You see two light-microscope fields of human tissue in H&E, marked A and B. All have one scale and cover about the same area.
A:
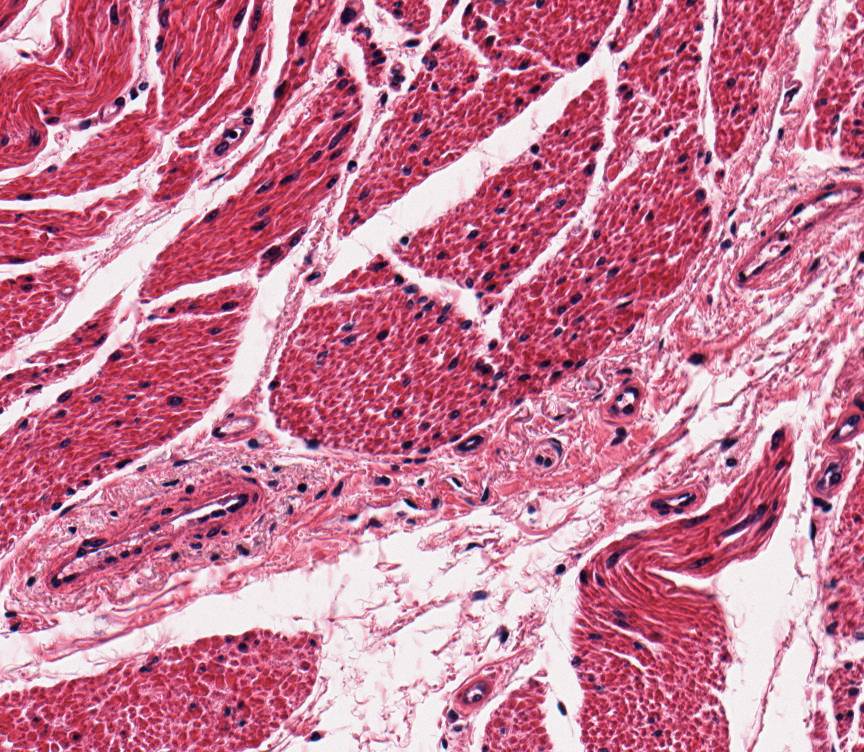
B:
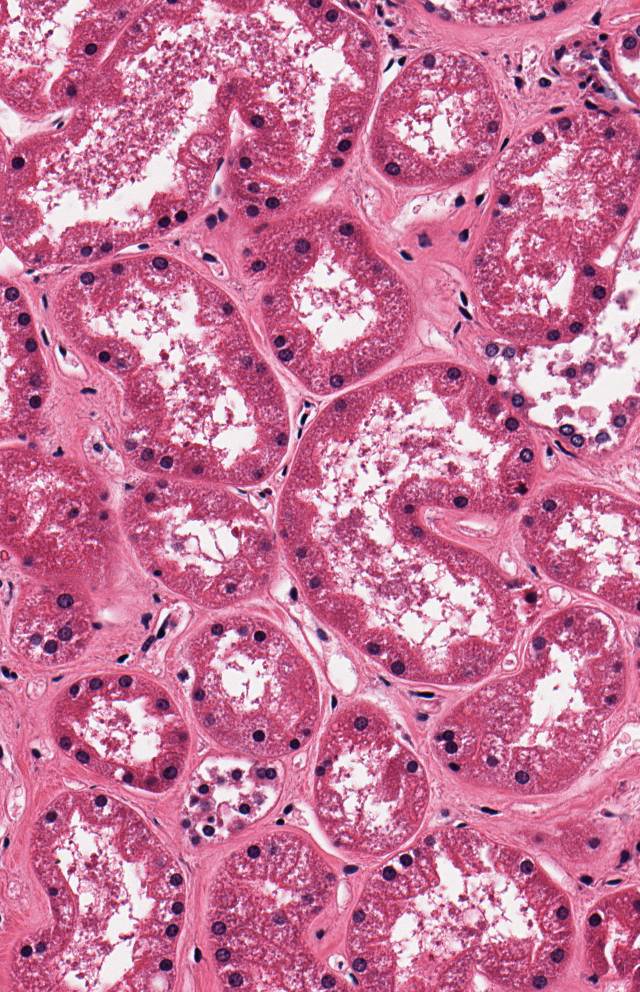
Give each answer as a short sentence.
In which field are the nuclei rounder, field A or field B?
On the whole the nuclei of field B are rounder than those of field A.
